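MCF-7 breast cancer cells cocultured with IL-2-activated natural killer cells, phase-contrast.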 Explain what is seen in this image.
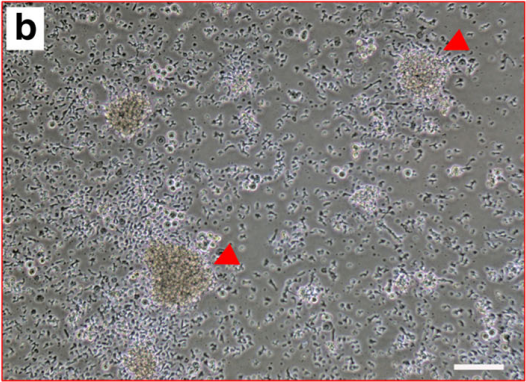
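No flat, adherent epithelial islands remain. The field is crowded with many small, round to slightly elongated cells, scattered singly and in loose groups, some bright-haloed and some dark. Among them lie several dense, brownish, granular, roughly round masses of cellular debris, the largest in the lower middle of the field. Smaller loose aggregates are scattered elsewhere. The background between the small cells is clear and grey.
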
